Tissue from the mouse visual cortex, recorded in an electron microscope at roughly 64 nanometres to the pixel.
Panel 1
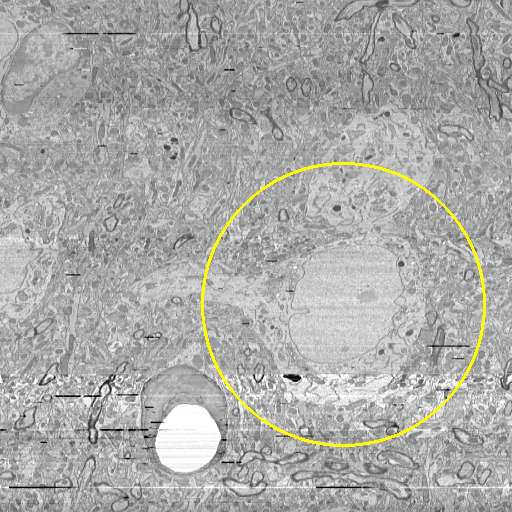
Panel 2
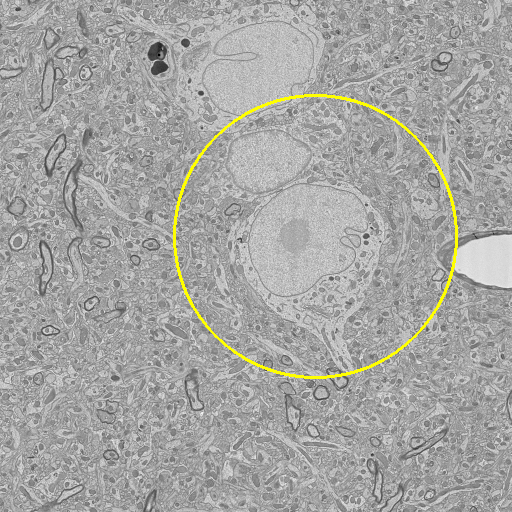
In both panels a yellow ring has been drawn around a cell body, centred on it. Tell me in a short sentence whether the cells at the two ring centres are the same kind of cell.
No, they are two kinds of cell.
